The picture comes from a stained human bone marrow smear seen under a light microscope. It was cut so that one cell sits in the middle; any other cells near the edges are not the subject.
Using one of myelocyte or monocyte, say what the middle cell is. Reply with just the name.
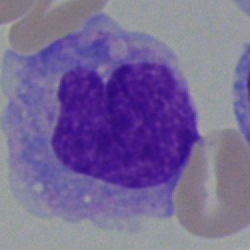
monocyte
